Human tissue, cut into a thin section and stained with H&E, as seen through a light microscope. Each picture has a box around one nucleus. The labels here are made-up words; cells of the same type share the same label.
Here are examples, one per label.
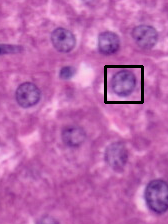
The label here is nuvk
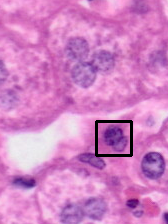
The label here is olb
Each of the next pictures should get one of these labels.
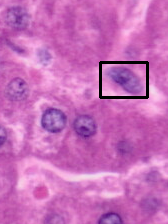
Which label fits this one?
olb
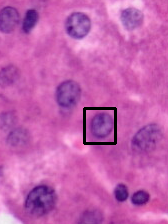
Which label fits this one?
nuvk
